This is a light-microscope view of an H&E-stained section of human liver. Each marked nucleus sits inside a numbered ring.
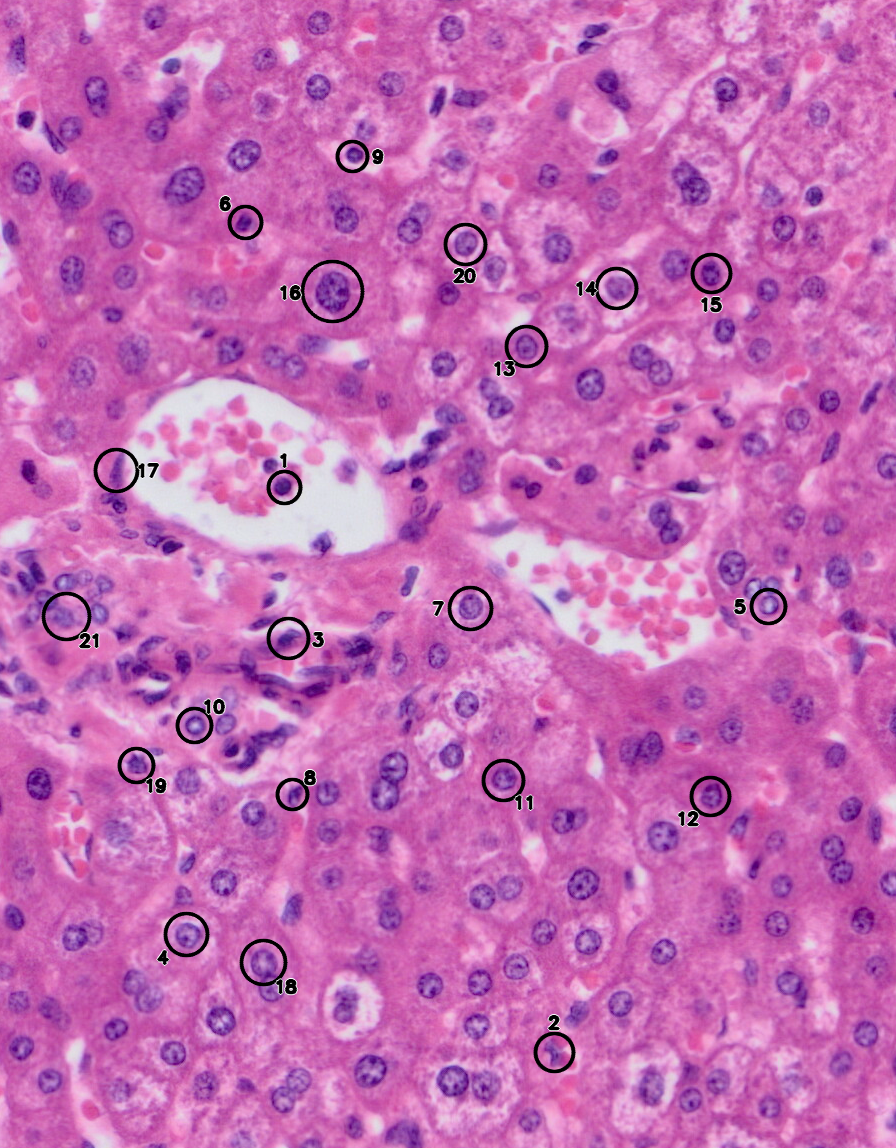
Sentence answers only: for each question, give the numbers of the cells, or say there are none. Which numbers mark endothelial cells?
Among the numbered cells, the one that is an endothelial cell is cell 2 alone.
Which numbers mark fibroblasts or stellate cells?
Within the section, cells numbered 3, 6, 8, 17 and 19 are fibroblasts or stellate cells.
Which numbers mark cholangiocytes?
The cells labelled 5, 10 and 21 in this section are cholangiocytes.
